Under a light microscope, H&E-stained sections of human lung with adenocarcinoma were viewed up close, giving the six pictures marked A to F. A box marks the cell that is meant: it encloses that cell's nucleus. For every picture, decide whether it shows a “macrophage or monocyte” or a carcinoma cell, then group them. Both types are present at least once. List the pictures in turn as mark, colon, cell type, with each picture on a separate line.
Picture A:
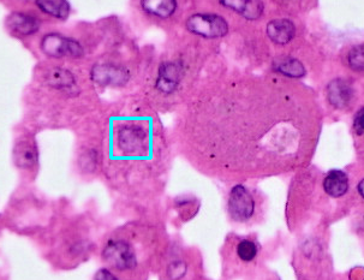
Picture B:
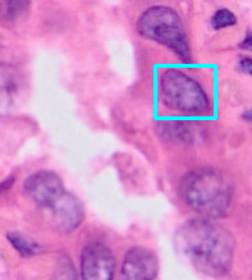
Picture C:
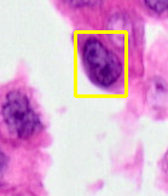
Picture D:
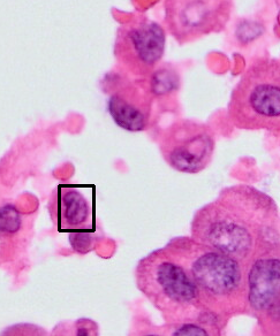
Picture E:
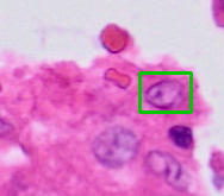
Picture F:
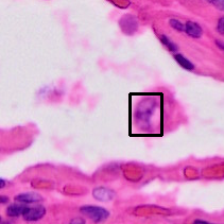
A: macrophage or monocyte
B: carcinoma cell
C: carcinoma cell
D: macrophage or monocyte
E: macrophage or monocyte
F: macrophage or monocyte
